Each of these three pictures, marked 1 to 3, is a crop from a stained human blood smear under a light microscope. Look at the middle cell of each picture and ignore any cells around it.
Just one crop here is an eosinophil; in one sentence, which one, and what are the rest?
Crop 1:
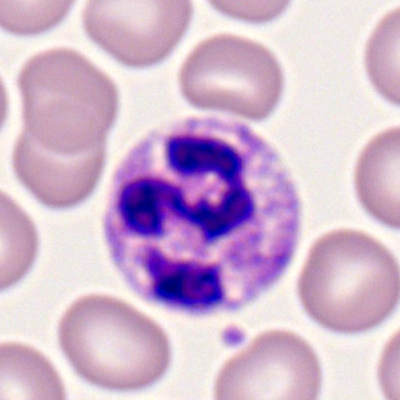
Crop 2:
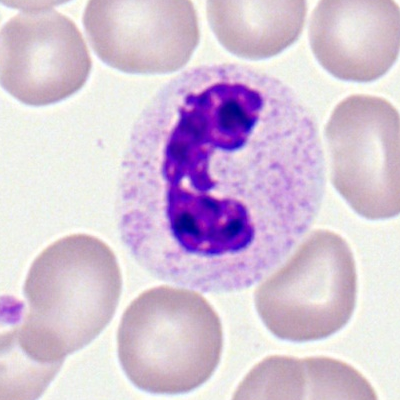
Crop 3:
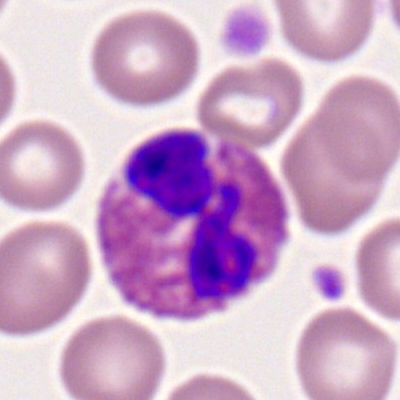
With respect to crop 3, the cell is an eosinophil, whereas crop 1 is a segmented neutrophil and crop 2 is a band neutrophil.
